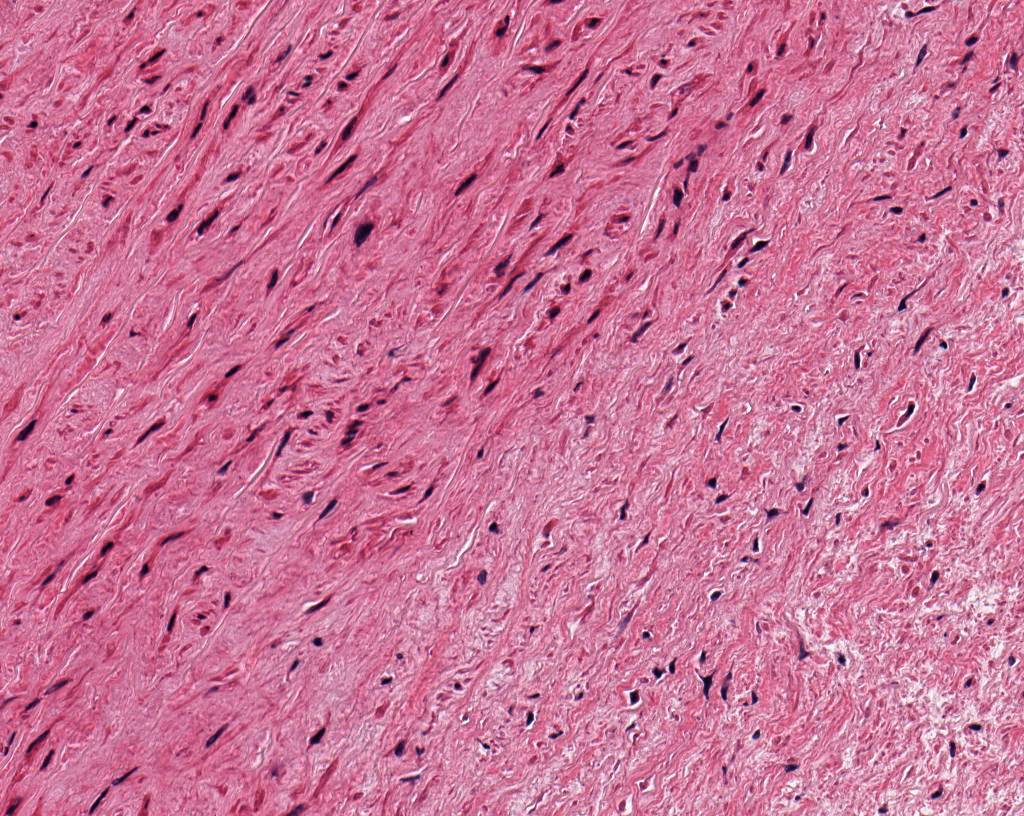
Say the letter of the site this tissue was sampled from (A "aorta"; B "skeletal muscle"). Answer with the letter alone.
A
